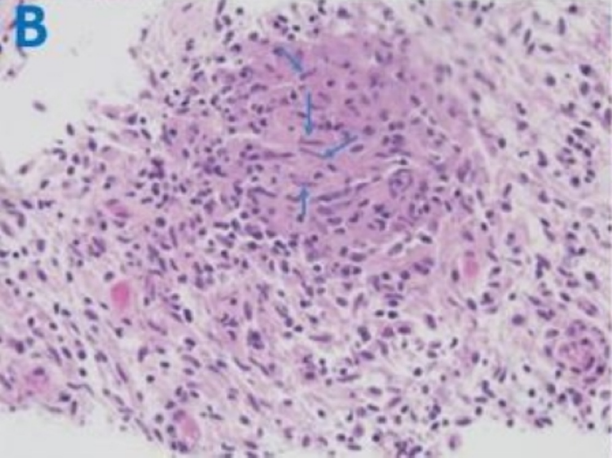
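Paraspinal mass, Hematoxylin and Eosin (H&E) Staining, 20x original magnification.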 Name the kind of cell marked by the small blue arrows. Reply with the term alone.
Histiocytes.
